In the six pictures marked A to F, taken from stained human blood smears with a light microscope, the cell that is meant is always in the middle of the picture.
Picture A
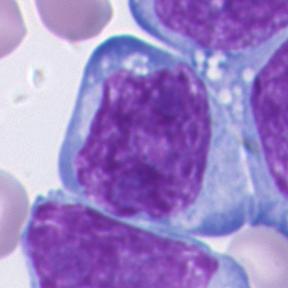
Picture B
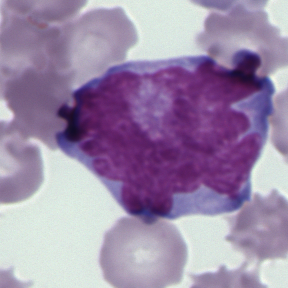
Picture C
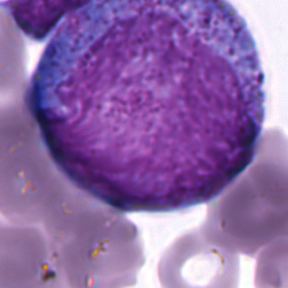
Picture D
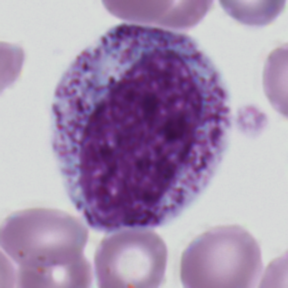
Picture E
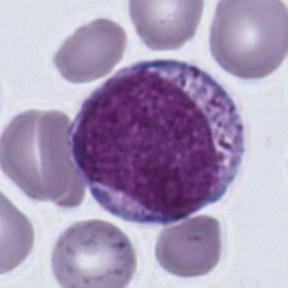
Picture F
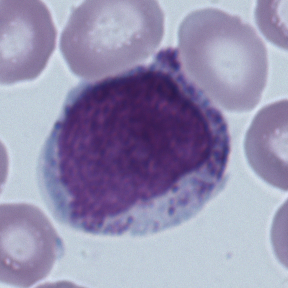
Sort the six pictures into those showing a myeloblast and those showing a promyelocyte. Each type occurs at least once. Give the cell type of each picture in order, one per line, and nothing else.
myeloblast
myeloblast
promyelocyte
promyelocyte
promyelocyte
promyelocyte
